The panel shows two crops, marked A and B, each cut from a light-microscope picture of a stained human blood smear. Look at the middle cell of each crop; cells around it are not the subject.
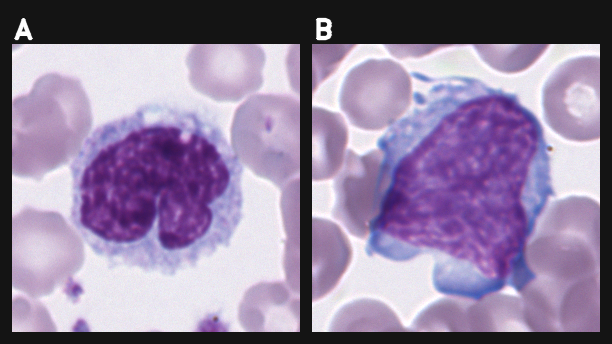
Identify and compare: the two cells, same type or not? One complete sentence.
No, crop A shows a monocyte and crop B a blast.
